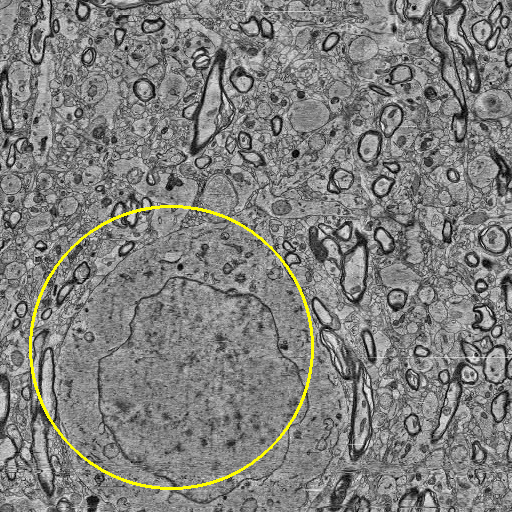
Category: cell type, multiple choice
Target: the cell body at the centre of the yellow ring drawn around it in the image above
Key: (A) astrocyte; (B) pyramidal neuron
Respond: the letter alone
B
